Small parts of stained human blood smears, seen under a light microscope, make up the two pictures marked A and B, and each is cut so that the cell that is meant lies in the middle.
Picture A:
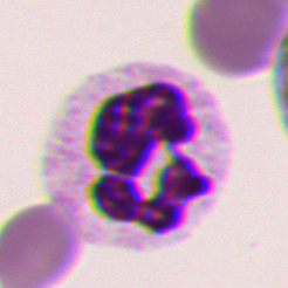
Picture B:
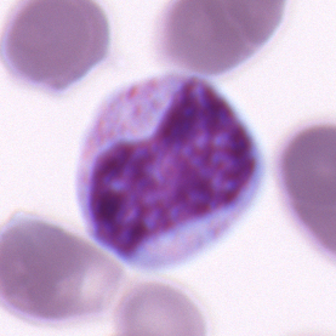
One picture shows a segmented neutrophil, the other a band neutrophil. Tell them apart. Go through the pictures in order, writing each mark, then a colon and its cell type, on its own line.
A: segmented neutrophil
B: band neutrophil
